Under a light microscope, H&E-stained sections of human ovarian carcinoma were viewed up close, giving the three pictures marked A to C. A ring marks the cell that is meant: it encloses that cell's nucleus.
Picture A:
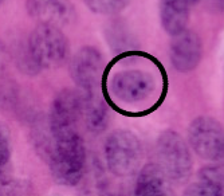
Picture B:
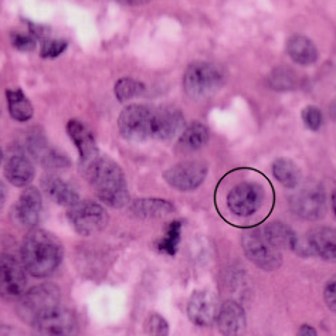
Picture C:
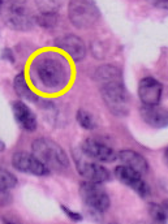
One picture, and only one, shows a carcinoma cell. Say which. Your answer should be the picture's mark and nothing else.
C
